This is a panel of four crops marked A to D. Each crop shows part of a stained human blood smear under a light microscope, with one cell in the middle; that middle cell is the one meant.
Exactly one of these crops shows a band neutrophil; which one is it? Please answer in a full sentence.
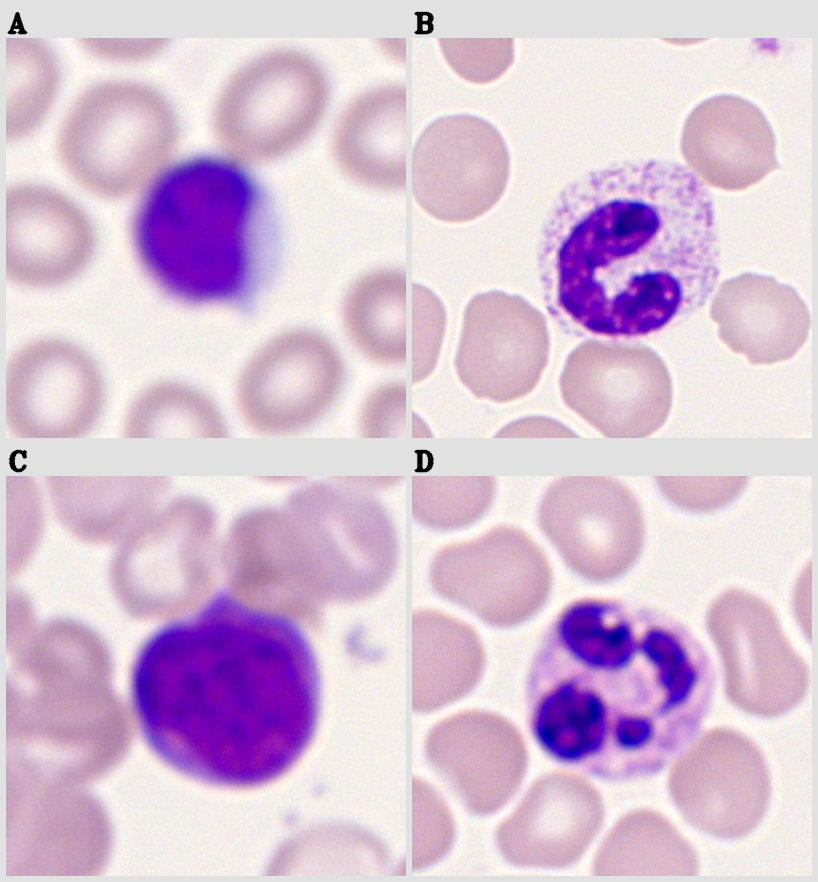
In the set of crops, crop B is the one that contains a band neutrophil.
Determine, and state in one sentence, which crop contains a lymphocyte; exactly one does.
Among all the crops given here, the one with a lymphocyte is crop A.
